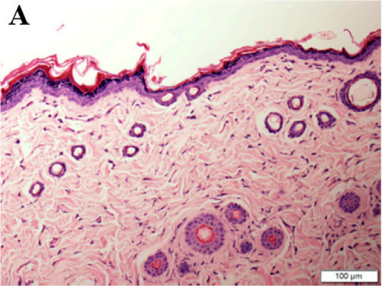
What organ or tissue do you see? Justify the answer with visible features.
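A thin stratified epithelium with a pink keratin layer covers the surface. Hair follicles in cross section lie in pink fibrous connective tissue below. So: skin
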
